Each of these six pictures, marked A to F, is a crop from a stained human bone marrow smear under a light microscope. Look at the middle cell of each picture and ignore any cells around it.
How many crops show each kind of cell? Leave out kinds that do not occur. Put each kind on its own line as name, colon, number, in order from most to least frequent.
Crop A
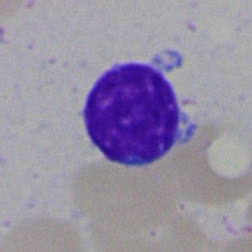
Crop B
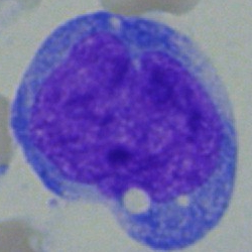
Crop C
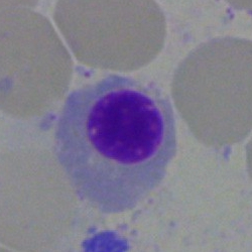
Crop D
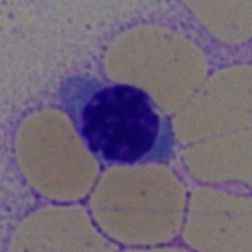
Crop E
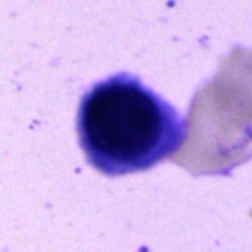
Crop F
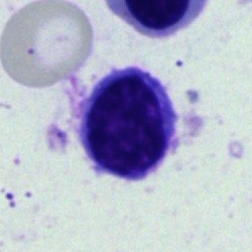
normoblast: 3
lymphocyte: 2
blast: 1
